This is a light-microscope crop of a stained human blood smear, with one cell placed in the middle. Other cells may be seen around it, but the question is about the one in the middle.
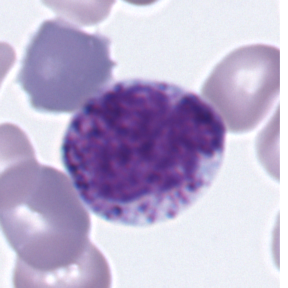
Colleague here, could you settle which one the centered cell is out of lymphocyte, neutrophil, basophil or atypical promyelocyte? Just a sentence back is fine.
The central element of this crop is a cell, namely a basophil.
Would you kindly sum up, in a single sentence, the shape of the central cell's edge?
Smooth all around, the outline has no projections to report.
